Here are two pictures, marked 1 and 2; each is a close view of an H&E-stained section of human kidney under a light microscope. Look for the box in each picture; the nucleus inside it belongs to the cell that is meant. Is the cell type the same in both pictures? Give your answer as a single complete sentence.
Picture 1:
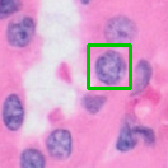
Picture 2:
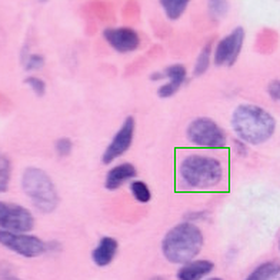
No, they differ: the cell is a “loop of Henle or distal tubule cell” in picture 1 and a collecting duct cell in picture 2.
